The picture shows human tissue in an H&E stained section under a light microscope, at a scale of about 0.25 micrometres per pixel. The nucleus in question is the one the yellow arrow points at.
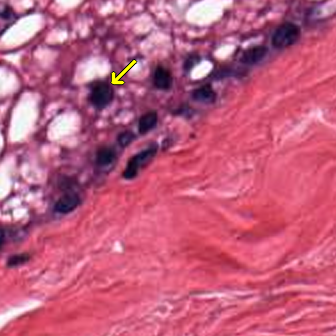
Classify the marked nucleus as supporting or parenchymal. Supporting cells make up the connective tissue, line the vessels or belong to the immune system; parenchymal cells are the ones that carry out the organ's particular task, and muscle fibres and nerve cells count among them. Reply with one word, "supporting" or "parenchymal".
parenchymal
